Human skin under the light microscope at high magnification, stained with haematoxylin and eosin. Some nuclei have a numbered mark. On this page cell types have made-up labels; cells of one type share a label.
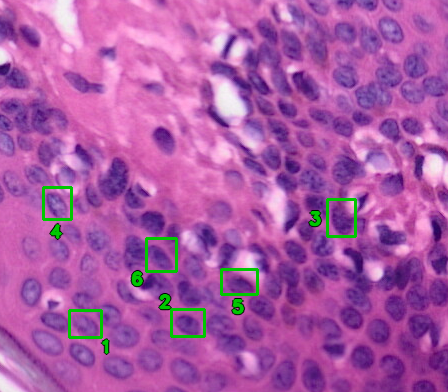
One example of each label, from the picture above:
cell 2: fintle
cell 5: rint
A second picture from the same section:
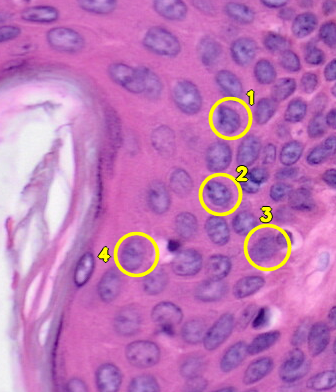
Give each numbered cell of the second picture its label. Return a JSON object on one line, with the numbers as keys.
{"1": "fintle", "2": "fintle", "3": "rint", "4": "fintle"}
